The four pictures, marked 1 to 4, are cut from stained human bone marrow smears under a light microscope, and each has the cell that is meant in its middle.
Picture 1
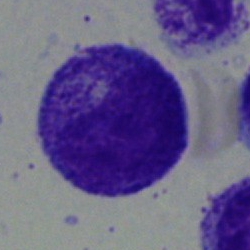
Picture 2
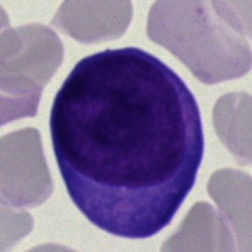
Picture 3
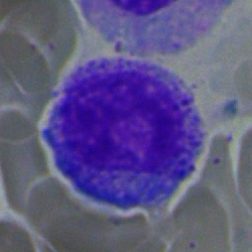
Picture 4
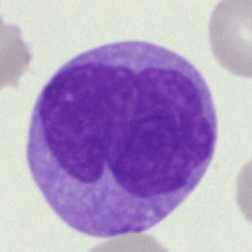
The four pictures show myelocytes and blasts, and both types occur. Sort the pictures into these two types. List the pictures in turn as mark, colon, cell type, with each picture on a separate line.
1: myelocyte
2: blast
3: myelocyte
4: blast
